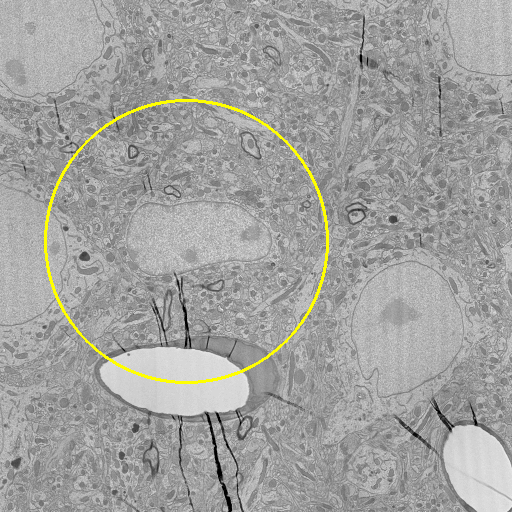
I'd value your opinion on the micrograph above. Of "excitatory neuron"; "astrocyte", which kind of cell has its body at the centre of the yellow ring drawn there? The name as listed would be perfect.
astrocyte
